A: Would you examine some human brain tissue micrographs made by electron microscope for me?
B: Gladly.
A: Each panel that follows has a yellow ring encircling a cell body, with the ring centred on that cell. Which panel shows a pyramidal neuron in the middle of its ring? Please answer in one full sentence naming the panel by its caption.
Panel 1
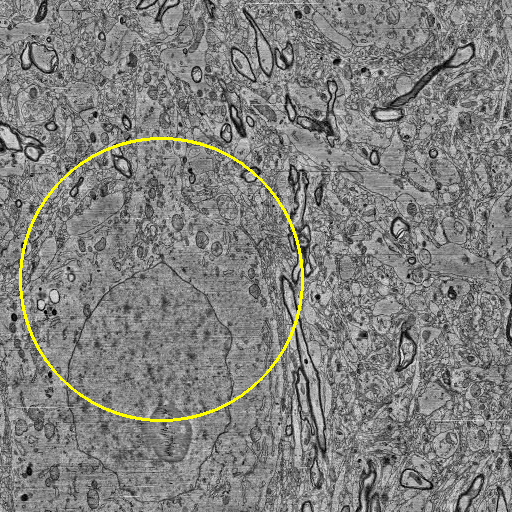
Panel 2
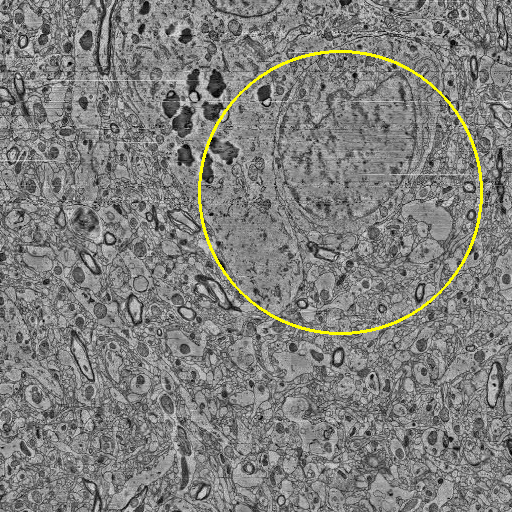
Panel 1 is where the ring sits centred on the requested cell.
